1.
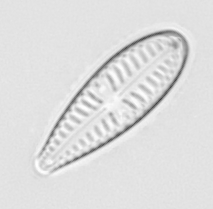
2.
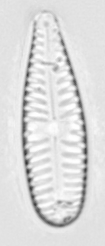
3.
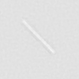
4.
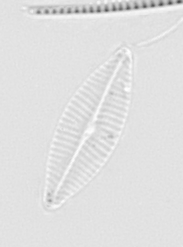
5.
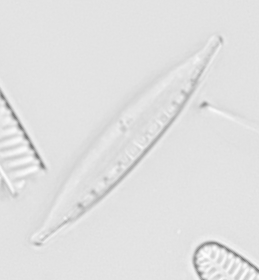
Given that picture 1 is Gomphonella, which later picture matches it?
2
